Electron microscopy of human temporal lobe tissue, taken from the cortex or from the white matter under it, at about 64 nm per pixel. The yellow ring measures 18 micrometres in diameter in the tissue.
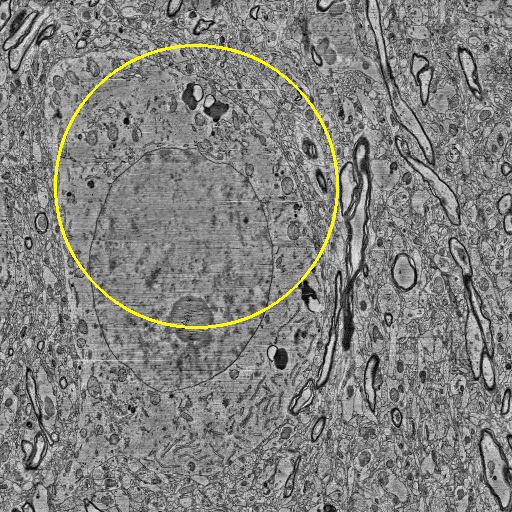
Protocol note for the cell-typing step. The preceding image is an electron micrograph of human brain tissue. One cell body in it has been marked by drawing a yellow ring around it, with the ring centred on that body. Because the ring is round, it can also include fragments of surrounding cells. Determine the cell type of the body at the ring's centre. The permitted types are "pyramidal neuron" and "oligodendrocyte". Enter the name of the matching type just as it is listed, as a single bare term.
pyramidal neuron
